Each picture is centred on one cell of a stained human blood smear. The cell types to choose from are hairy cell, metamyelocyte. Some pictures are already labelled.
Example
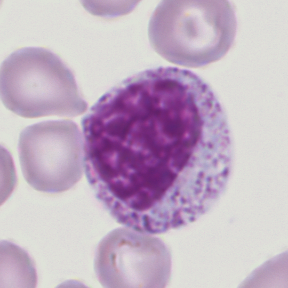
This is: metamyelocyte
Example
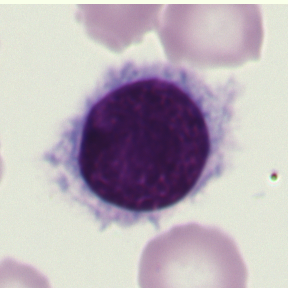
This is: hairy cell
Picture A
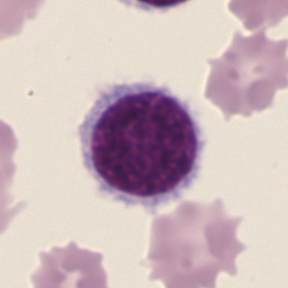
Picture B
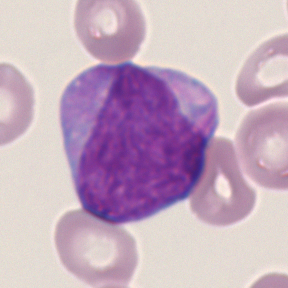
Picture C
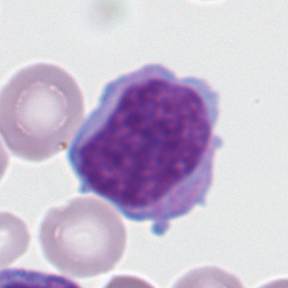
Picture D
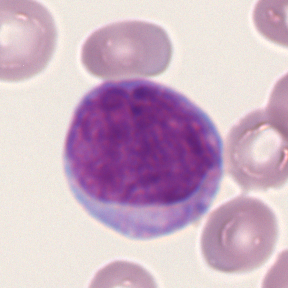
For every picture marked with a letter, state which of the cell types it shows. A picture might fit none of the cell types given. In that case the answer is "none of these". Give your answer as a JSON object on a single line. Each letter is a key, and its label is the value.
{"A": "hairy cell", "B": "none of these", "C": "none of these", "D": "none of these"}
